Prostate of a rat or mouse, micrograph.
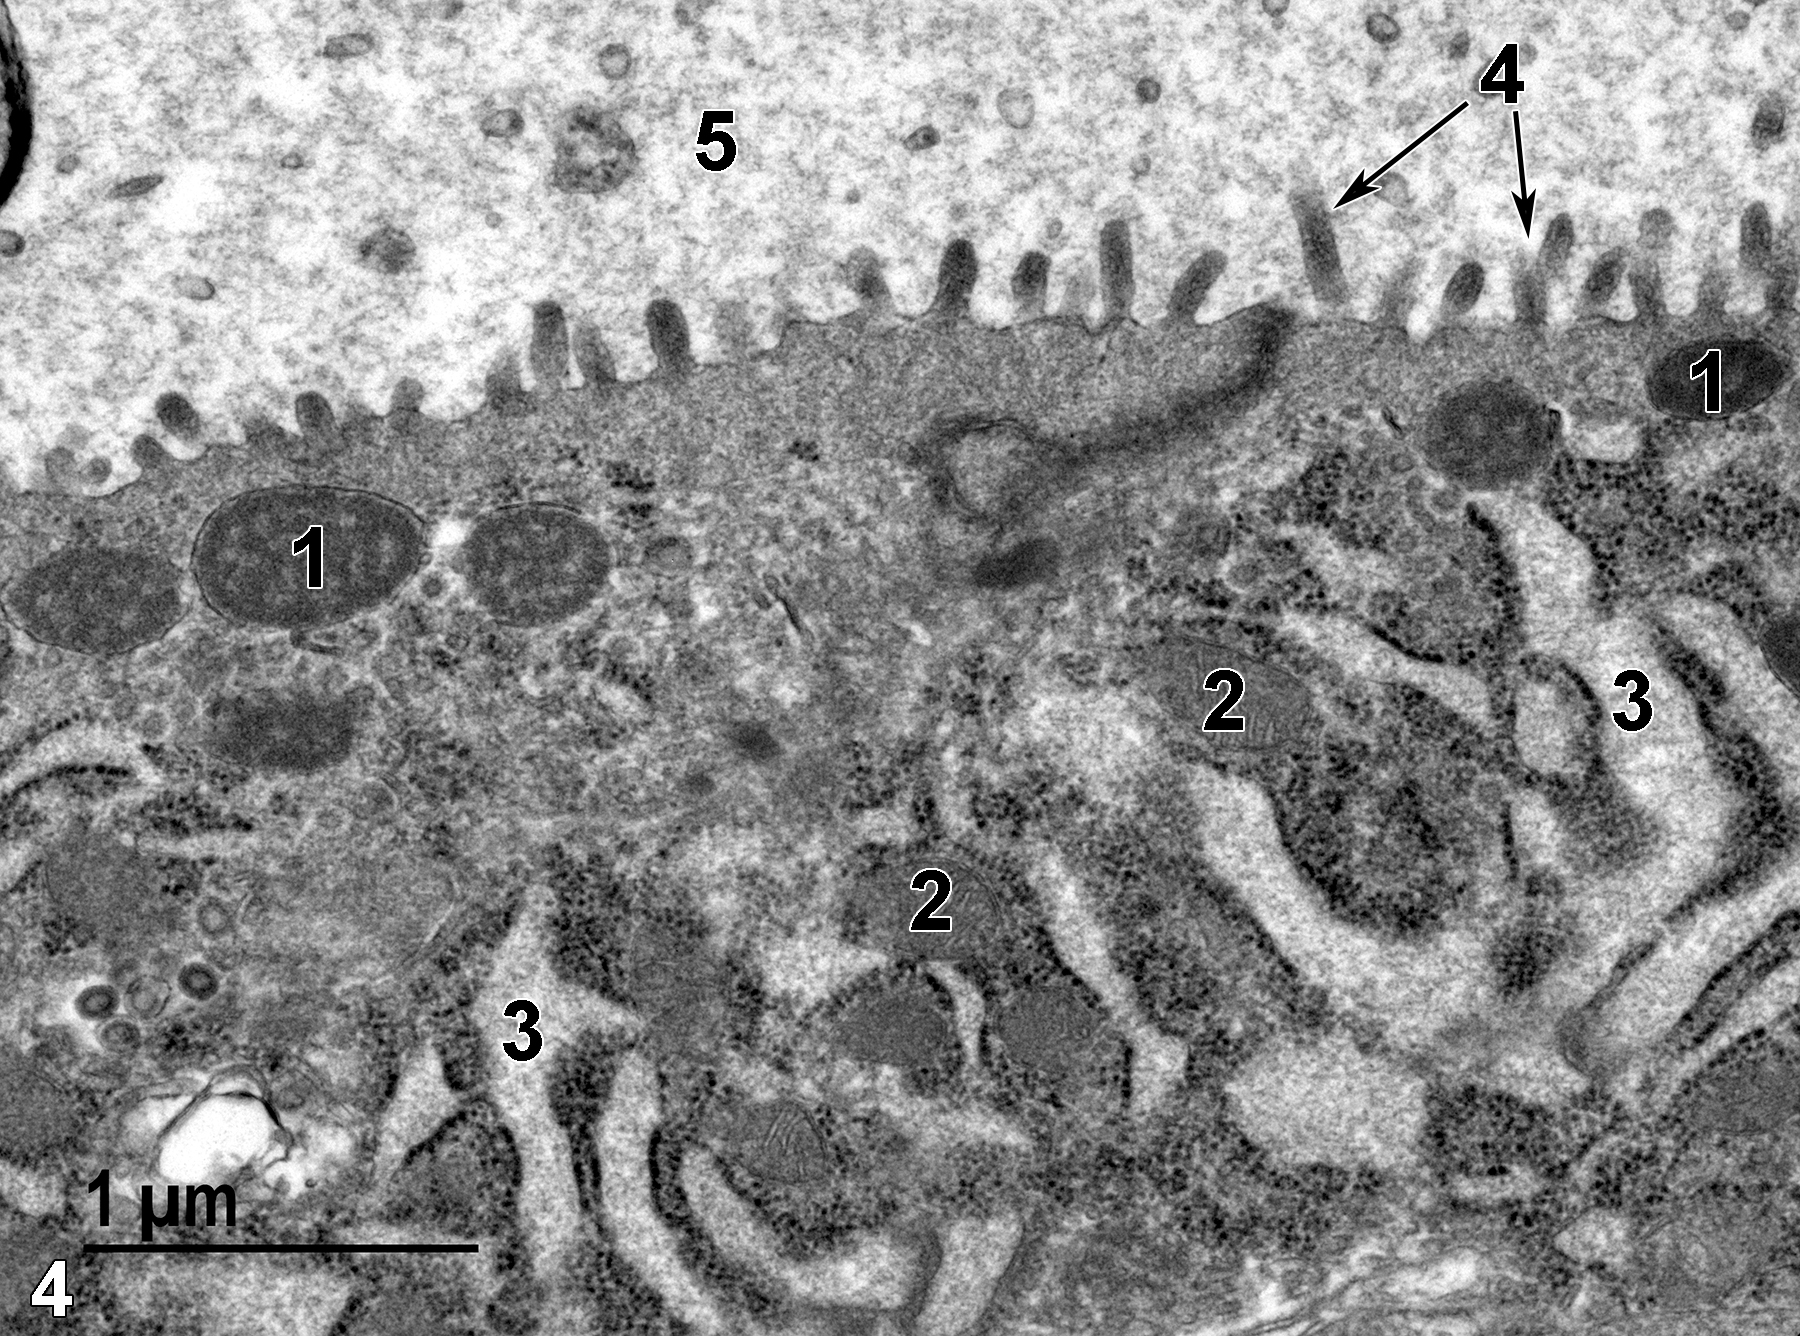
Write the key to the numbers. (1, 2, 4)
1 secretory granules
2 mitochondria
4 microvilli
